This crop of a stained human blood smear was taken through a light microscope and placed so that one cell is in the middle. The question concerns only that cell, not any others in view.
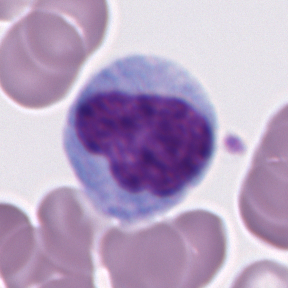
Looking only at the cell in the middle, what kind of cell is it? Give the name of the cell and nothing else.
monocyte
